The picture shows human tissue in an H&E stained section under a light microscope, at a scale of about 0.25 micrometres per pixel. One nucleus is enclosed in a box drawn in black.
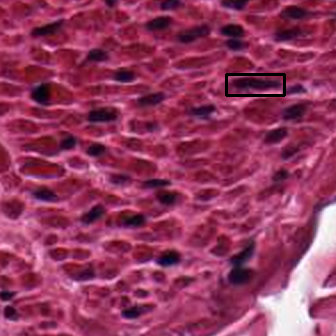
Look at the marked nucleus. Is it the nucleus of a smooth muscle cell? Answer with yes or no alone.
yes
